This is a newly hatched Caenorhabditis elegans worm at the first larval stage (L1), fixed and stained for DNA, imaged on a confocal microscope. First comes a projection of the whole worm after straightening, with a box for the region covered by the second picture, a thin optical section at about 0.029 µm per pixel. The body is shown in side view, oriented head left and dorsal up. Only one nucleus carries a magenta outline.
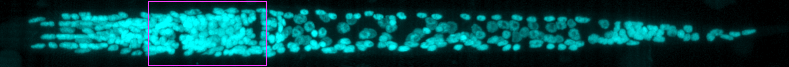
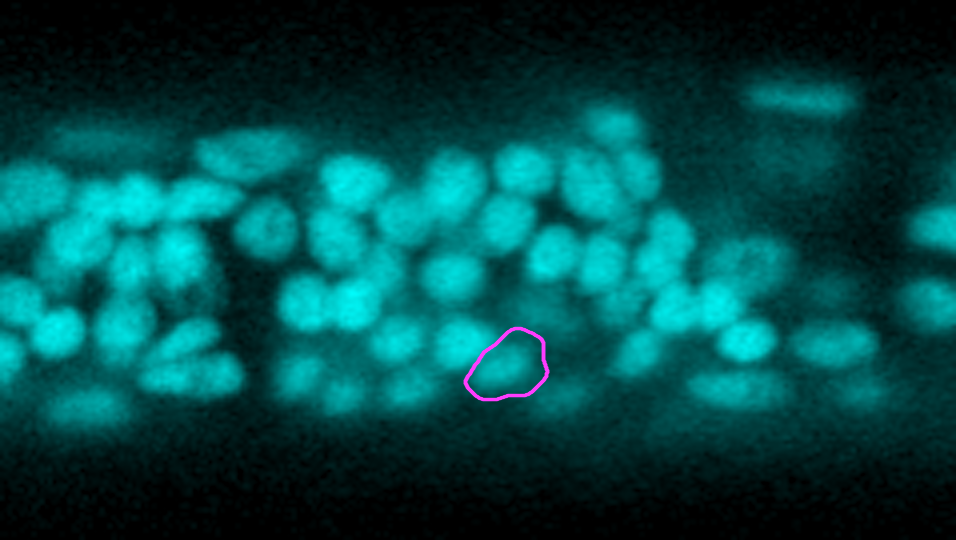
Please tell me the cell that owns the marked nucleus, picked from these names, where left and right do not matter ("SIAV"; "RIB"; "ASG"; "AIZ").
SIAV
